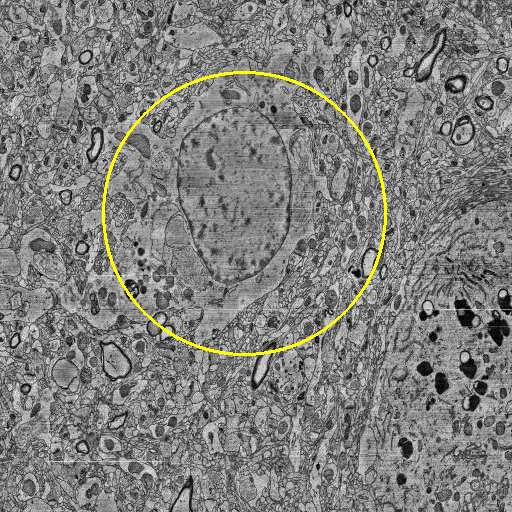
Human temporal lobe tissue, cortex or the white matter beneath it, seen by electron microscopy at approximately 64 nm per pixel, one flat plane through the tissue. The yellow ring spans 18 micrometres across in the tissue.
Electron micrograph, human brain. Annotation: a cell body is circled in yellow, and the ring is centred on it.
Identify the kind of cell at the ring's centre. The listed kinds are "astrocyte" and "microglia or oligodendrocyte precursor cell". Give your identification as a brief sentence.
The circled cell body is that of an astrocyte.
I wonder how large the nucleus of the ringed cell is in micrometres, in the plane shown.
In this plane the nucleus is roughly 12 by 8 micrometres, clearly longer than it is wide.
